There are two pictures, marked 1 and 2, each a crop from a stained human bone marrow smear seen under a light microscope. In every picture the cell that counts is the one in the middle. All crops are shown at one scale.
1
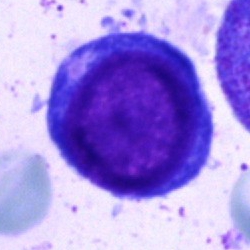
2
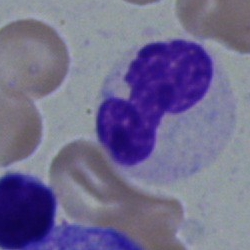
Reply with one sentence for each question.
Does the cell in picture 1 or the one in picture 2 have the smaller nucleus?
Picture 2 shows the smaller nucleus, since that in picture 1 covers about 2 times as much area.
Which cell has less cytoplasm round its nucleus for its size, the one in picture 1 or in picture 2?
Of the two, the nucleus in picture 1 makes up the greater part of its cell.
